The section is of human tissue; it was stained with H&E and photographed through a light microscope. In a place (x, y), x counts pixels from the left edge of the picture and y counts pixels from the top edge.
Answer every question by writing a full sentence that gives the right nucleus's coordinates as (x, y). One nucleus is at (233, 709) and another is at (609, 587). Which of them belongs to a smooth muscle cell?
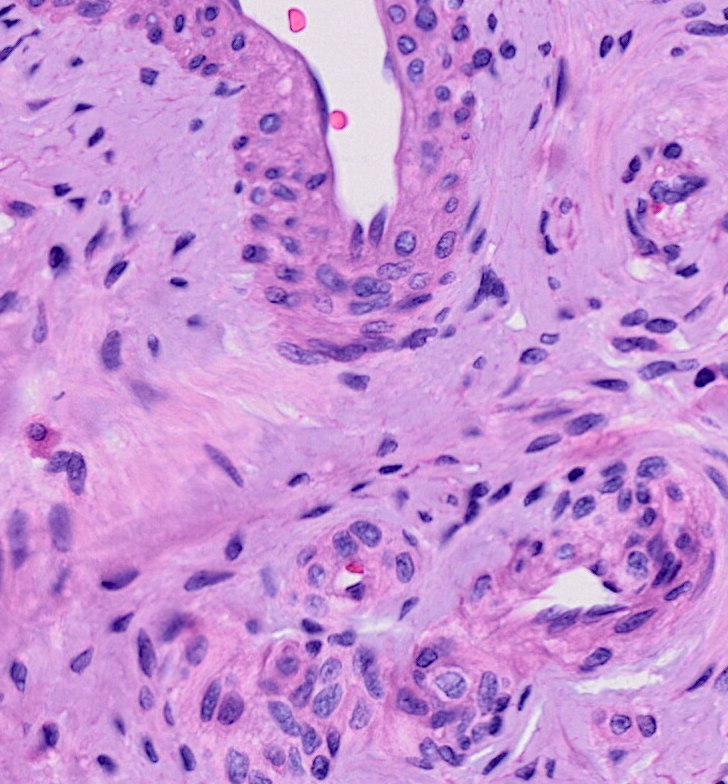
The nucleus at (233, 709) belongs to a smooth muscle cell, which distinguishes it from the other nucleus.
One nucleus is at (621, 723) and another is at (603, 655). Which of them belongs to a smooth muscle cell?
The pair contains one nucleus of a smooth muscle cell, namely the one at (603, 655).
